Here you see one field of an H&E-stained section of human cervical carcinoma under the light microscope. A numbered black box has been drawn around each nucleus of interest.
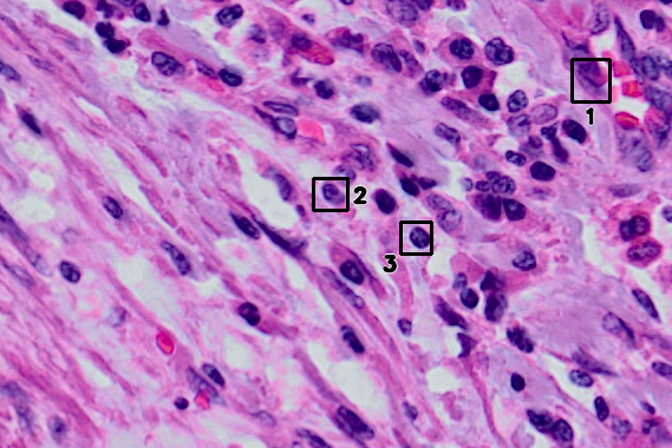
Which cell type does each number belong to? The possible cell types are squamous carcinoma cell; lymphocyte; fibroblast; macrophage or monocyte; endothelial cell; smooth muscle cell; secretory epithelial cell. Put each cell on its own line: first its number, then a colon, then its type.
1: endothelial cell
2: lymphocyte
3: lymphocyte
